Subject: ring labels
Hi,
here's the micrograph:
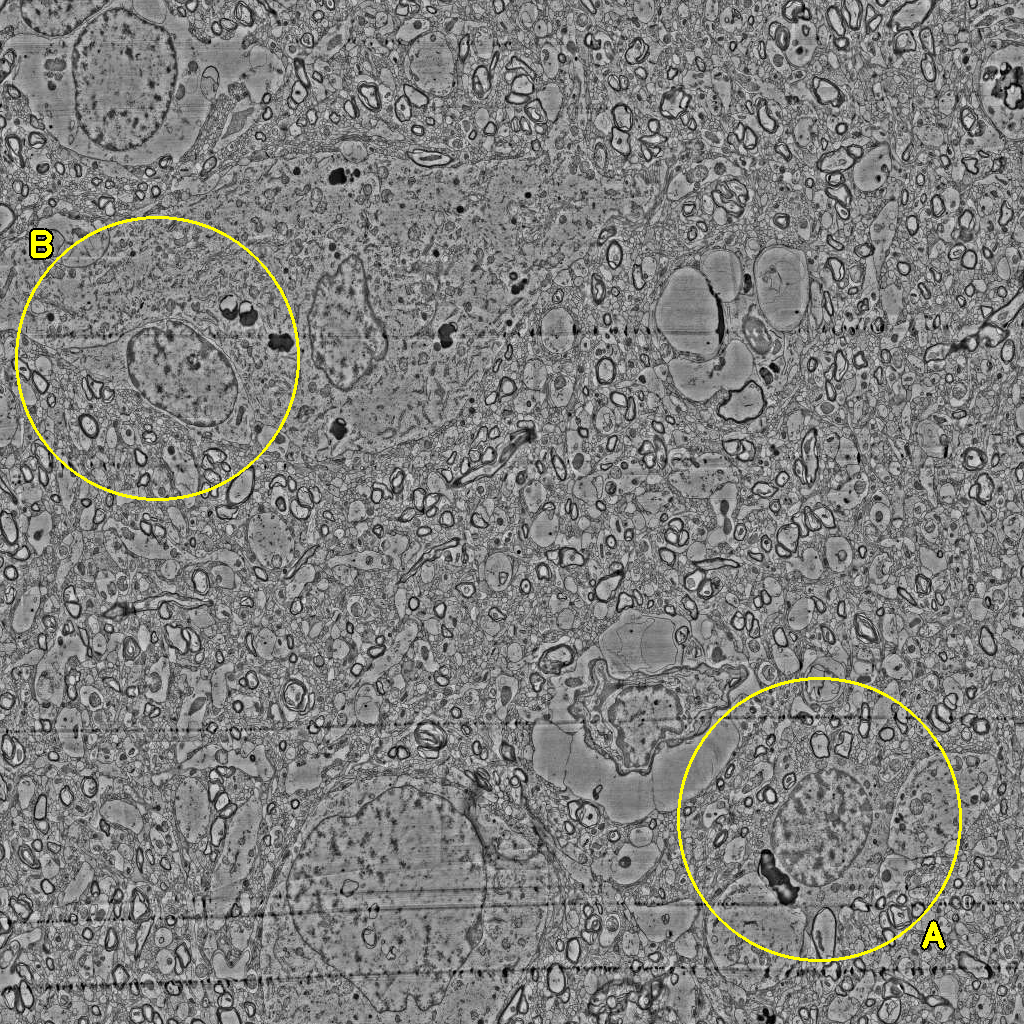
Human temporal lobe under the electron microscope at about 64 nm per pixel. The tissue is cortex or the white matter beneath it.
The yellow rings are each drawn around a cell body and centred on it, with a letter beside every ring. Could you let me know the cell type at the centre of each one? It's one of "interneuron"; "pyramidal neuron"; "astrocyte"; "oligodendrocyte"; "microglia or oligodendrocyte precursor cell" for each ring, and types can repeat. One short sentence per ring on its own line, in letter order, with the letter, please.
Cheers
The type at the centre of ring A is an oligodendrocyte.
The type at the centre of ring B is a microglial cell or oligodendrocyte precursor cell.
